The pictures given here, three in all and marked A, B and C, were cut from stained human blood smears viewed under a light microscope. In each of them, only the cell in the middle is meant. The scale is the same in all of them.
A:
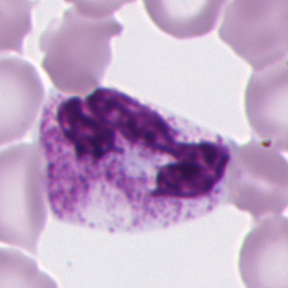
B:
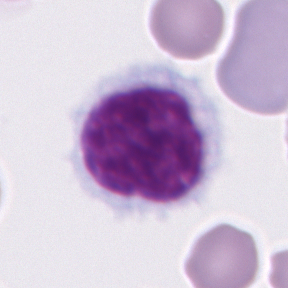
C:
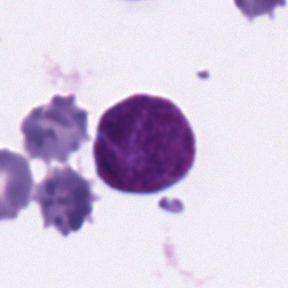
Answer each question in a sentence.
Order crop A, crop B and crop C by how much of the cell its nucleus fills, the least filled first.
They run A, B, C, the least filled first.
